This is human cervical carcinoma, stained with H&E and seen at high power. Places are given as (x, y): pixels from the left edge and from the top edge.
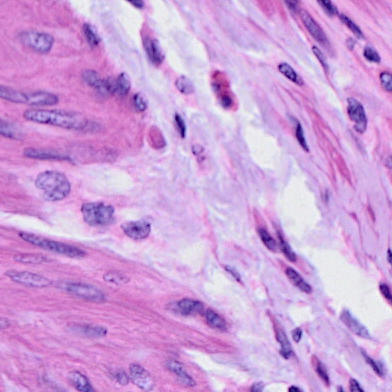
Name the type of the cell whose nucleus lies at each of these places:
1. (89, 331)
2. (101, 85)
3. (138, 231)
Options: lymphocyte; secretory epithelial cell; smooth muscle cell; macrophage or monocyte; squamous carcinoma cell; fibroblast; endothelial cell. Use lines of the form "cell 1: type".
cell 1: smooth muscle cell
cell 2: smooth muscle cell
cell 3: macrophage or monocyte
